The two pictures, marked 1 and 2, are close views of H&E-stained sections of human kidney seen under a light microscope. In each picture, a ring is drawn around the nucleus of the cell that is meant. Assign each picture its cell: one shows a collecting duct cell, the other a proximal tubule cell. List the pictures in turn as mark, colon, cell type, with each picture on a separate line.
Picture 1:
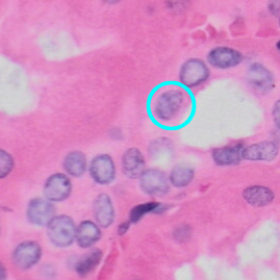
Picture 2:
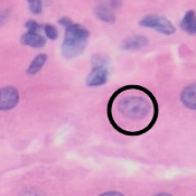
1: collecting duct cell
2: proximal tubule cell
